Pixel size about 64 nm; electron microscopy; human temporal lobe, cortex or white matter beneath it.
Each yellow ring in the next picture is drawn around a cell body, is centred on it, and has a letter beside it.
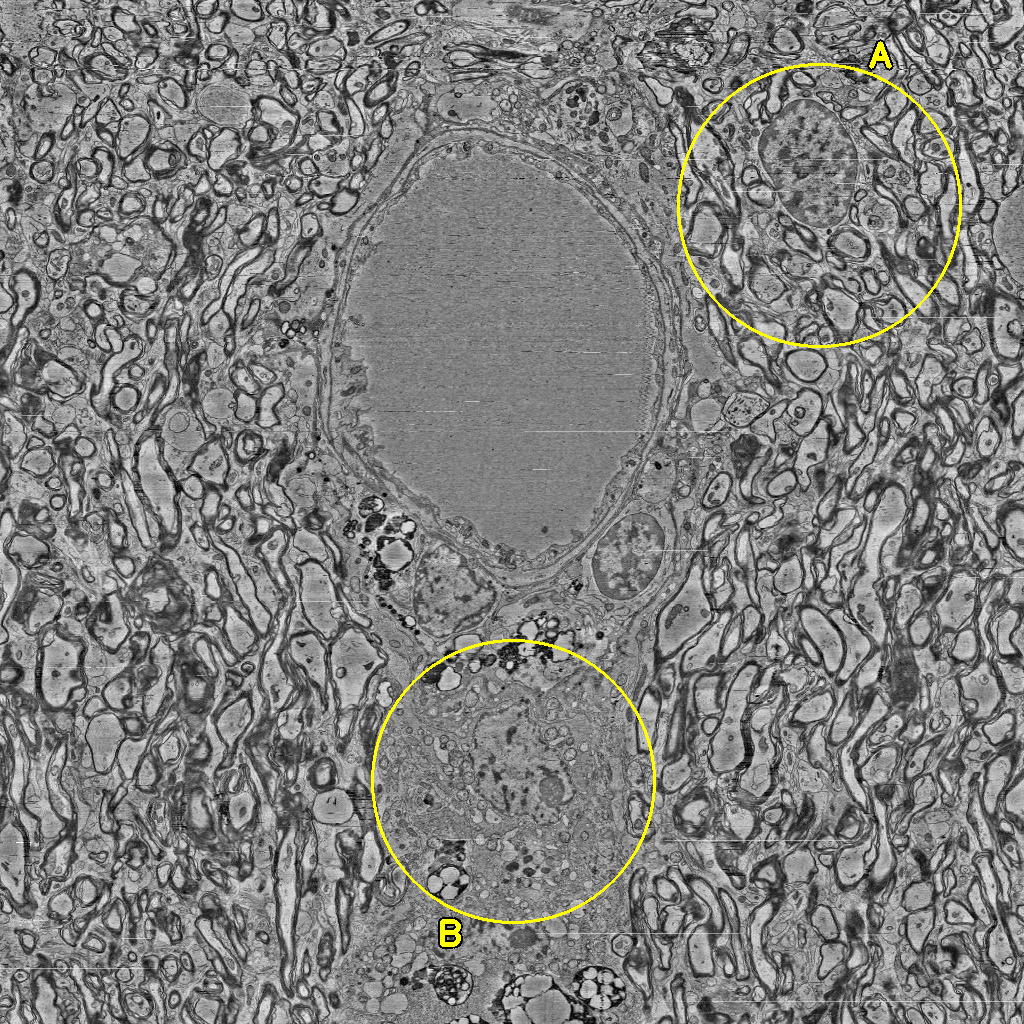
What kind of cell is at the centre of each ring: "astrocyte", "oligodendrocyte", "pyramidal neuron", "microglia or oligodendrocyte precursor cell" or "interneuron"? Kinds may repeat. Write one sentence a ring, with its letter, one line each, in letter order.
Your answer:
The centre of ring A falls on a microglial cell or oligodendrocyte precursor cell.
The centre of ring B falls on an astrocyte.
